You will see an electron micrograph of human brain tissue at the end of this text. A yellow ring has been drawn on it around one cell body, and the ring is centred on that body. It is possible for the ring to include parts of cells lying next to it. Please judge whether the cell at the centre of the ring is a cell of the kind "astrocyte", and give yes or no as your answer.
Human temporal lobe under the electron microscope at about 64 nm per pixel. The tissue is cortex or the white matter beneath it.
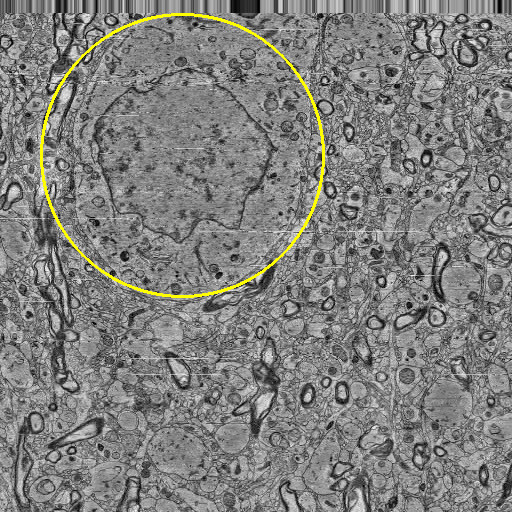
no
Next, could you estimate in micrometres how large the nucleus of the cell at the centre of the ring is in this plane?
In this plane, the nucleus of the cell at the centre of the ring is about 11 micrometres across.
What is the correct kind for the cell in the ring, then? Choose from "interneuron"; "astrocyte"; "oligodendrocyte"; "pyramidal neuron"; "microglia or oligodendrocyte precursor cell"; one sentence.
Instead, the picture shows a pyramidal neuron at the centre of the ring.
